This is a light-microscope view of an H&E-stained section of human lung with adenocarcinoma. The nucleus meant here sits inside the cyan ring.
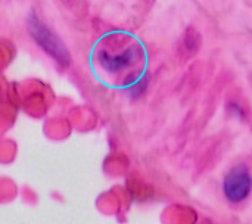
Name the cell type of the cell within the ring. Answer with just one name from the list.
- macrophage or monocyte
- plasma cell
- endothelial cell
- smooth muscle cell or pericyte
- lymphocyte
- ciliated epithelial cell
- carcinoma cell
smooth muscle cell or pericyte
